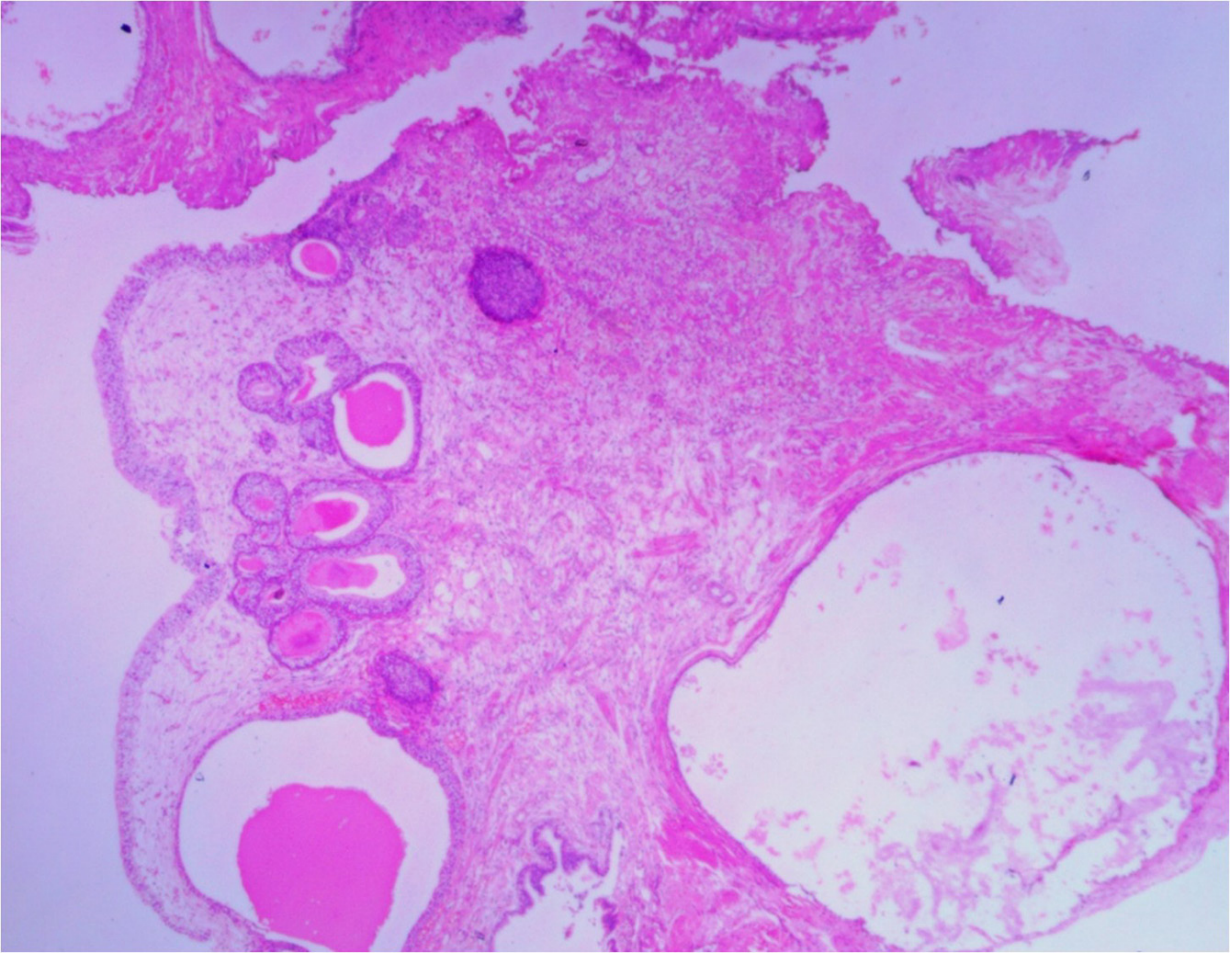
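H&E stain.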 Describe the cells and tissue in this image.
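This low-power view shows a mucosa with a surface epithelium over a loose, pale pink stroma that contains many cystic spaces of varying size. Small cysts are clustered near the surface, each lined by a thin rim of epithelium and filled with dense pink material. A much larger cyst at the lower left holds a round mass of homogeneous pink material, and a very large, mostly empty cyst at the right holds only faint wispy pink debris. The stroma between the cysts is fibrous and loose, with scattered small vessels. Two small, round, dark purple clusters of densely packed cells lie in the stroma near the cysts.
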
